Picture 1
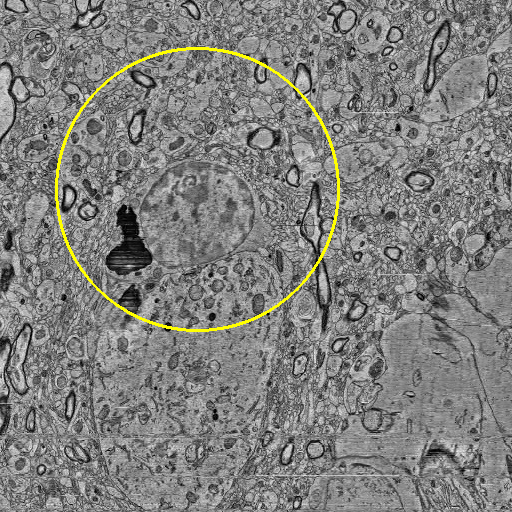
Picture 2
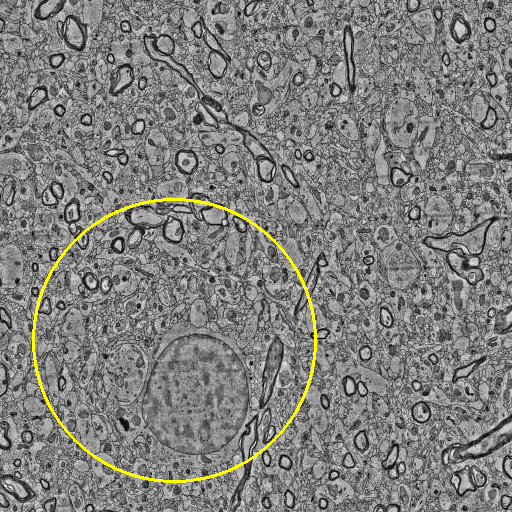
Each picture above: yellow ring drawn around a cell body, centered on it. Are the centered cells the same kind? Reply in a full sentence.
Yes, the two cells are the same kind.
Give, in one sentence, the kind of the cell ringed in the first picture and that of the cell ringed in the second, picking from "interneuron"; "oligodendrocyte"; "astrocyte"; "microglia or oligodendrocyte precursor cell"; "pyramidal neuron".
The ring centre holds an oligodendrocyte in each of the two pictures.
